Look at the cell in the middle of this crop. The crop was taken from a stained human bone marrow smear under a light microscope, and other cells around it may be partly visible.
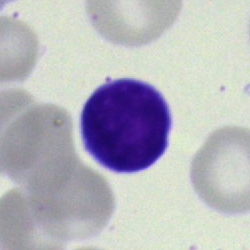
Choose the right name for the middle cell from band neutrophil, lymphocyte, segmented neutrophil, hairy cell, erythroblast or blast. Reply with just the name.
lymphocyte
